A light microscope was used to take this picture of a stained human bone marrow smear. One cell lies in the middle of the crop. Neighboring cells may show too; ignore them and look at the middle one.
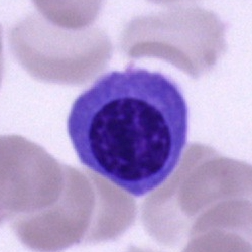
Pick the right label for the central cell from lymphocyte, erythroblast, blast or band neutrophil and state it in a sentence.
The cell featured at the centre of this crop is an erythroblast.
